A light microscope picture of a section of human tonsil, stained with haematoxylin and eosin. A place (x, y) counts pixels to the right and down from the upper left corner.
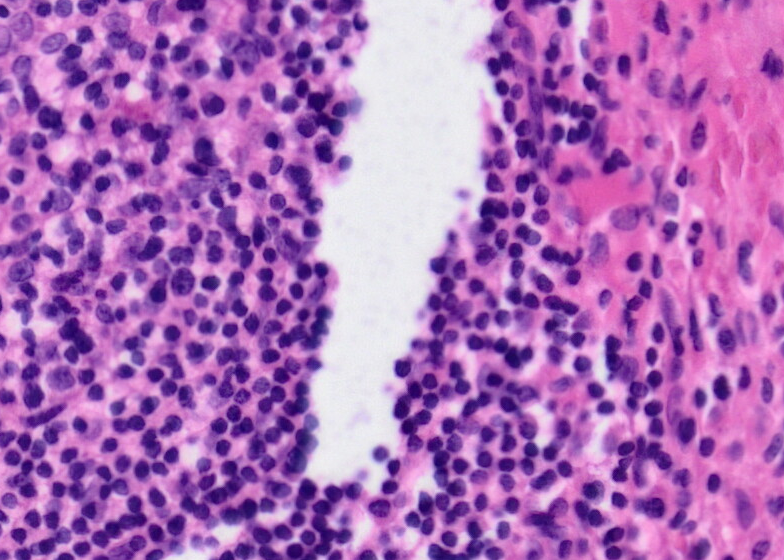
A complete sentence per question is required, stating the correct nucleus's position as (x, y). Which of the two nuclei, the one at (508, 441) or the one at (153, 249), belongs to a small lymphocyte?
So, of the two, the nucleus at (508, 441) is the one belonging to a small lymphocyte.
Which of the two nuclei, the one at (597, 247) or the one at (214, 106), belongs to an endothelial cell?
The nucleus of an endothelial cell lies at (597, 247), not at the other position.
